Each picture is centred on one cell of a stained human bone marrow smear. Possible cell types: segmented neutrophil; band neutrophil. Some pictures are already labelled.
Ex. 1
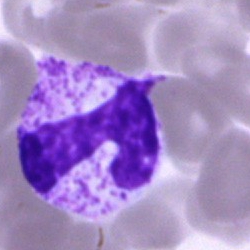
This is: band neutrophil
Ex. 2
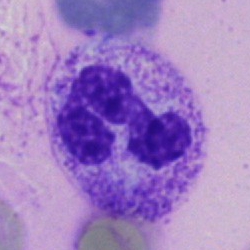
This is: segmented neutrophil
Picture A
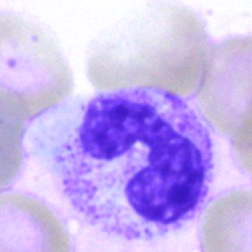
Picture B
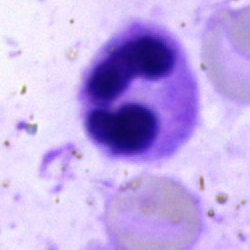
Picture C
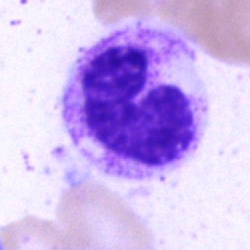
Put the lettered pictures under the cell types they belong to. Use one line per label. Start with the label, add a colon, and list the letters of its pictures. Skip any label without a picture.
segmented neutrophil: A, B
band neutrophil: C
